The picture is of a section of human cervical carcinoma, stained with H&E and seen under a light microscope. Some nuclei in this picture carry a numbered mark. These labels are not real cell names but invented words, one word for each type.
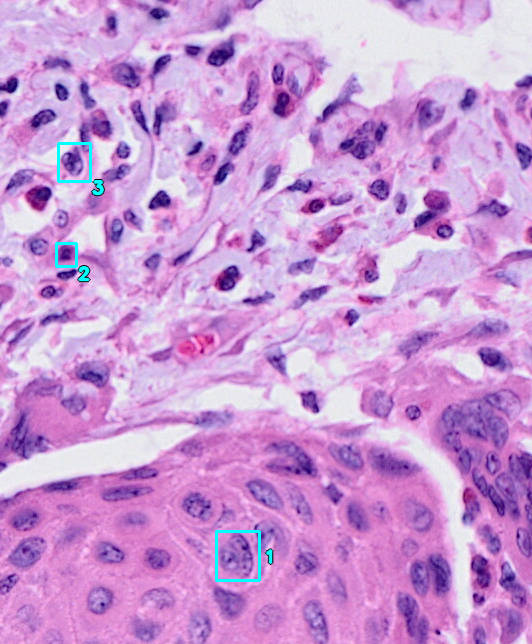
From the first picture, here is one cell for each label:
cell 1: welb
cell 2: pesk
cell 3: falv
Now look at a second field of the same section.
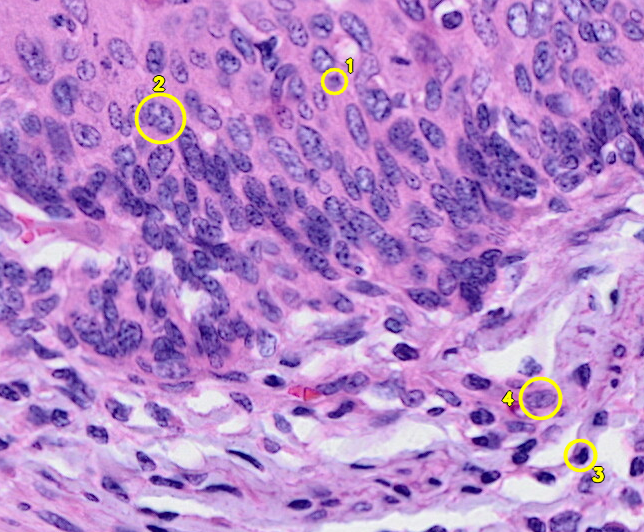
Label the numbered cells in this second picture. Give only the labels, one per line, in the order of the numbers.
welb
welb
falv
pesk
